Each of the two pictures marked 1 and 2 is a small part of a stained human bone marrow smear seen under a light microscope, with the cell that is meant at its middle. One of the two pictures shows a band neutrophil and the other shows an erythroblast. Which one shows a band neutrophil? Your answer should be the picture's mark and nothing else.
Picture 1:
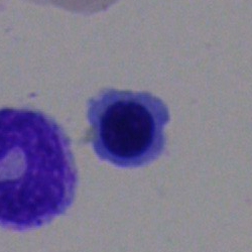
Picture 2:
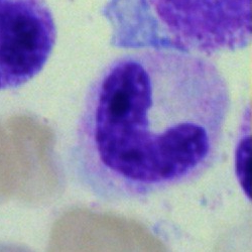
2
